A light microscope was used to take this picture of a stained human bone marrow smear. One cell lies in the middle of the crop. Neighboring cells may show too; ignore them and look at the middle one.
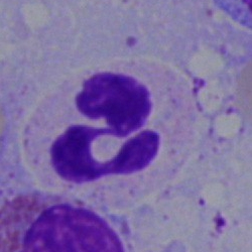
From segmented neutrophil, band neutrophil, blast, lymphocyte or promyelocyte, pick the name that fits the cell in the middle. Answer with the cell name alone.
segmented neutrophil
